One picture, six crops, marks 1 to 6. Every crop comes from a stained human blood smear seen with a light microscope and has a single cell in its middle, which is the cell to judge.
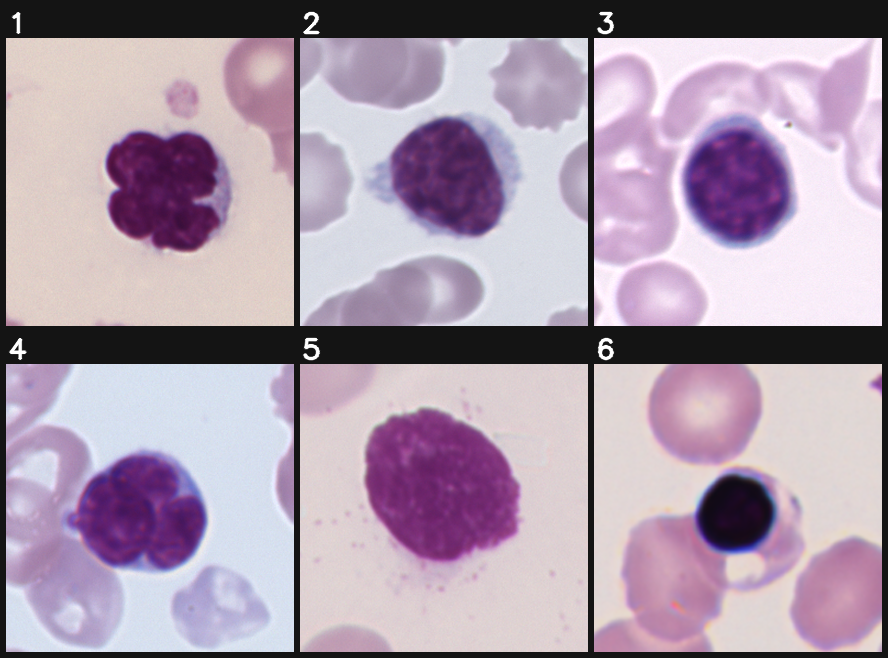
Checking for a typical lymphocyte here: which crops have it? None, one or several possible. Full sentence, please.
Crops 1, 3 and 4 contain typical lymphocytes as their central cells.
